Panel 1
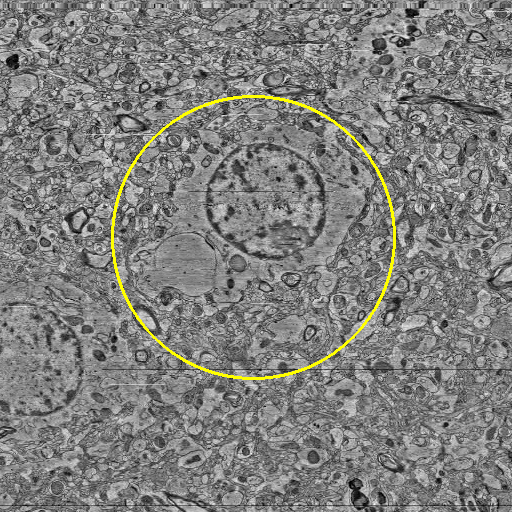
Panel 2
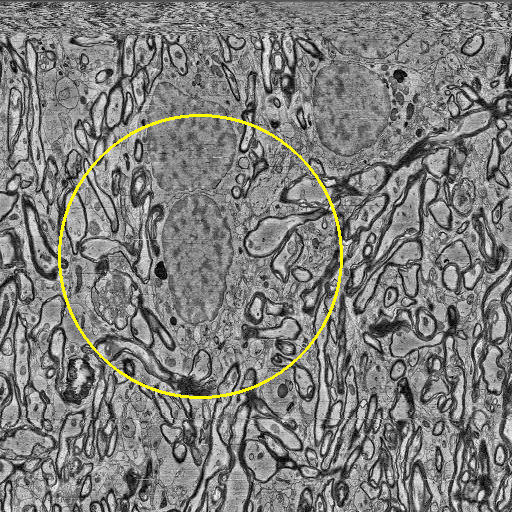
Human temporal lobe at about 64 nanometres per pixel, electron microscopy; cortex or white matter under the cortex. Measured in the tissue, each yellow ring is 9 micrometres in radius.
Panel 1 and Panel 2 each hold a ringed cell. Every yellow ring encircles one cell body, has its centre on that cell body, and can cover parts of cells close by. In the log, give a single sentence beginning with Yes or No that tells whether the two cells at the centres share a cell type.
No, in Panel 1 and Panel 2 the centred cells are of two cell types.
